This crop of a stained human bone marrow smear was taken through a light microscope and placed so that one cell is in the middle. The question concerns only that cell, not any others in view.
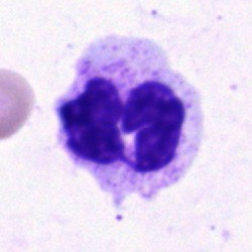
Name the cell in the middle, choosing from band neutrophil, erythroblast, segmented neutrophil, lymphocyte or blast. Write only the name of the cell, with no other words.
segmented neutrophil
